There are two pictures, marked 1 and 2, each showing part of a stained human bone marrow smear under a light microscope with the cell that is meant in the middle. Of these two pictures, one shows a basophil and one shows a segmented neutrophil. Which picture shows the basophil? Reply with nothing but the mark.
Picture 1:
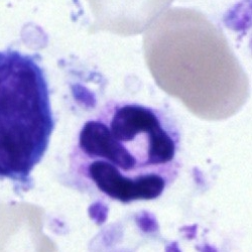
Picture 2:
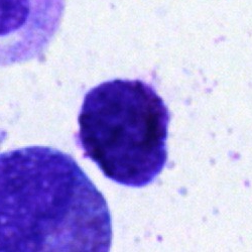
2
